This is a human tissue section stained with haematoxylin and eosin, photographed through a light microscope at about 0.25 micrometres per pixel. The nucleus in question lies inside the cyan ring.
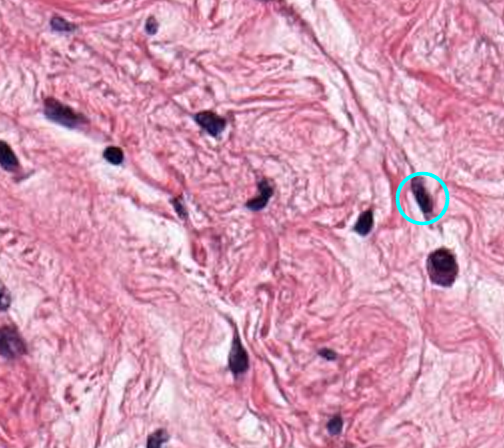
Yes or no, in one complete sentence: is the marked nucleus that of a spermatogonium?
No, the marked nucleus, rather than belonging to a spermatogonium, belongs to a supporting cell.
